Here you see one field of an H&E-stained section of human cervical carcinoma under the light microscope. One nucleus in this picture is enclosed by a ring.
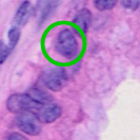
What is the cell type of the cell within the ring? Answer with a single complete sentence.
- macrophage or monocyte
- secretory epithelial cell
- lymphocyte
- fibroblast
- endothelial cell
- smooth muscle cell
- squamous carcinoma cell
The cell within the ring is a secretory epithelial cell.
